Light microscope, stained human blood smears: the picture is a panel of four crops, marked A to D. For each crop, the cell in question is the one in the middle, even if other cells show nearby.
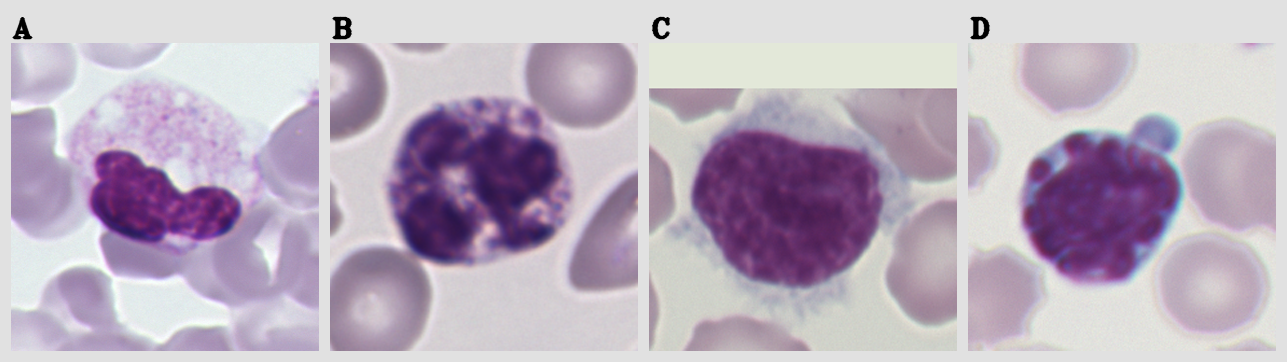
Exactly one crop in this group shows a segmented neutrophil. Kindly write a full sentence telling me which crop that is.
Among the crops provided, a segmented neutrophil occupies the center of crop A.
